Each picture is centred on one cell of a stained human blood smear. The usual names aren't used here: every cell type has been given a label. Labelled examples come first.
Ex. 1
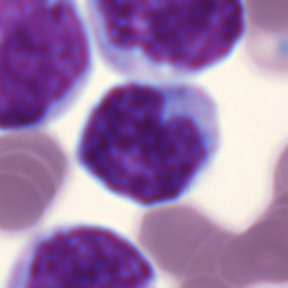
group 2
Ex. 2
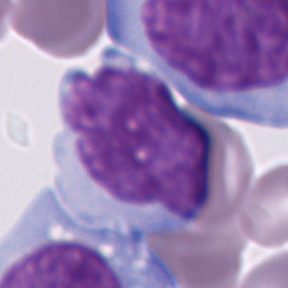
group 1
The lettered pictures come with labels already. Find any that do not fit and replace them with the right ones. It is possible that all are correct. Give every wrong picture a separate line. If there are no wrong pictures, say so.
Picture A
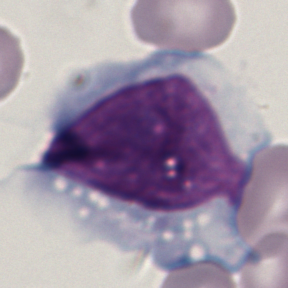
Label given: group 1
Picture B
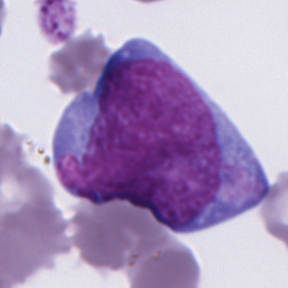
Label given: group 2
B: group 1, not group 2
